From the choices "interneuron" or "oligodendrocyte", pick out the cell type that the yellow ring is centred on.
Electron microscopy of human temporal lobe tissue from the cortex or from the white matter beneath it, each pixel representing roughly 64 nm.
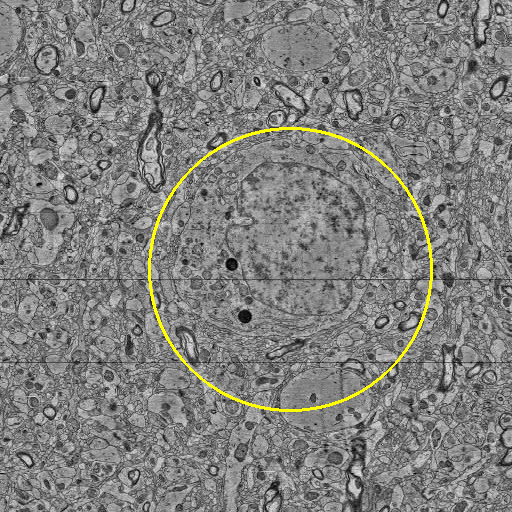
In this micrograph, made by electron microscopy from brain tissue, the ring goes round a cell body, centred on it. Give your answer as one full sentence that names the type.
The yellow ring is centred on an interneuron, whose cell body it encircles in the picture.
